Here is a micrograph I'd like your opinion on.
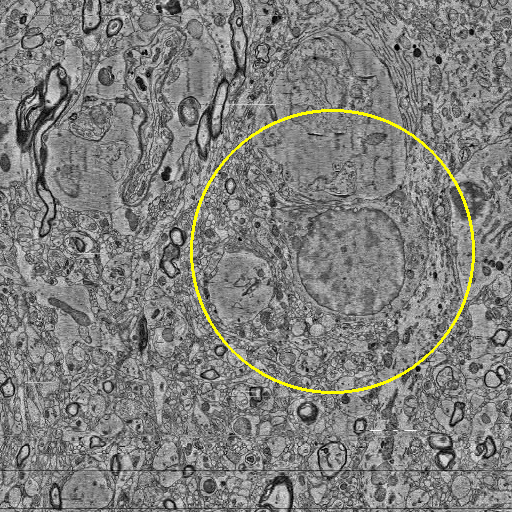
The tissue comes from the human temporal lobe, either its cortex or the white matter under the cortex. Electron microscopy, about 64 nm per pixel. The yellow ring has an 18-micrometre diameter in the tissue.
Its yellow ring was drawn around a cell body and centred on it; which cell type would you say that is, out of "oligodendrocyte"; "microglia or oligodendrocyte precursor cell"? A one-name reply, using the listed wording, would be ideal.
oligodendrocyte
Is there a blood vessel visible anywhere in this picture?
Yes, there is one.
